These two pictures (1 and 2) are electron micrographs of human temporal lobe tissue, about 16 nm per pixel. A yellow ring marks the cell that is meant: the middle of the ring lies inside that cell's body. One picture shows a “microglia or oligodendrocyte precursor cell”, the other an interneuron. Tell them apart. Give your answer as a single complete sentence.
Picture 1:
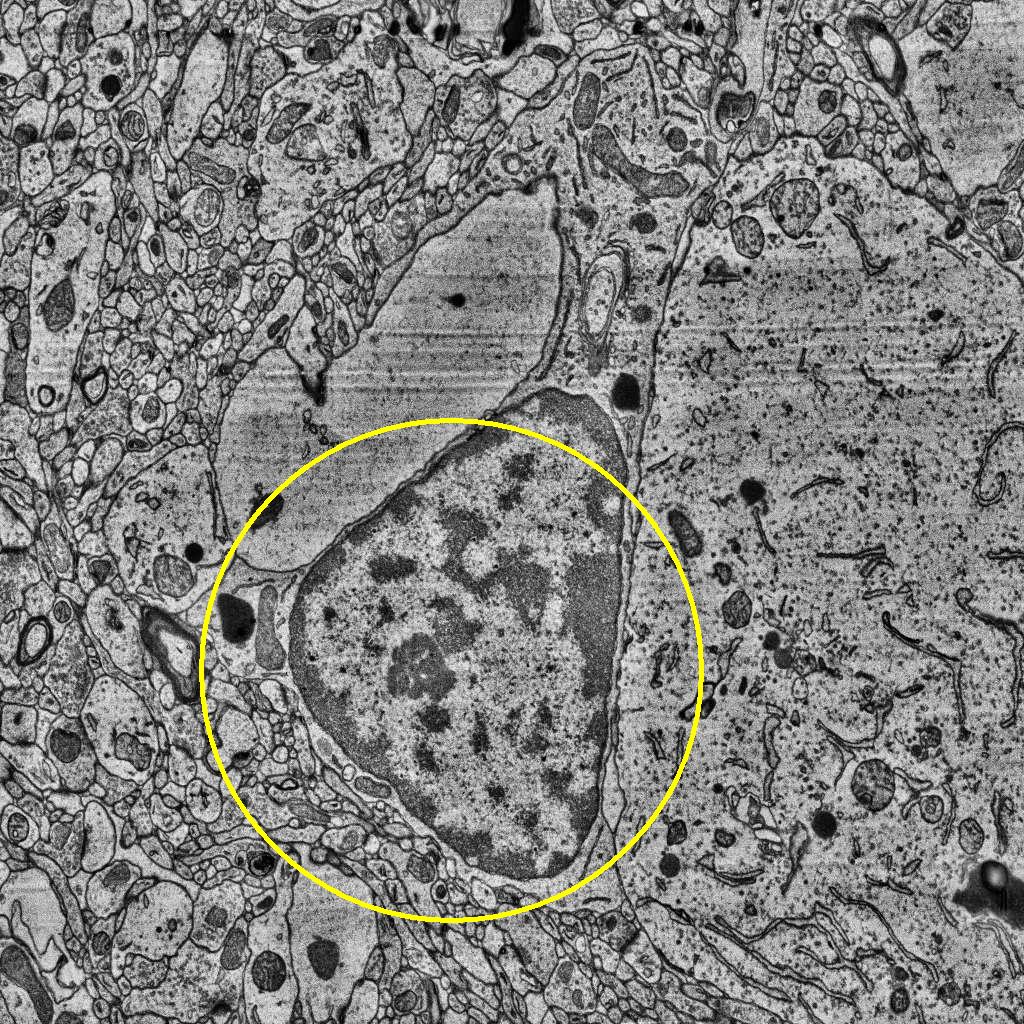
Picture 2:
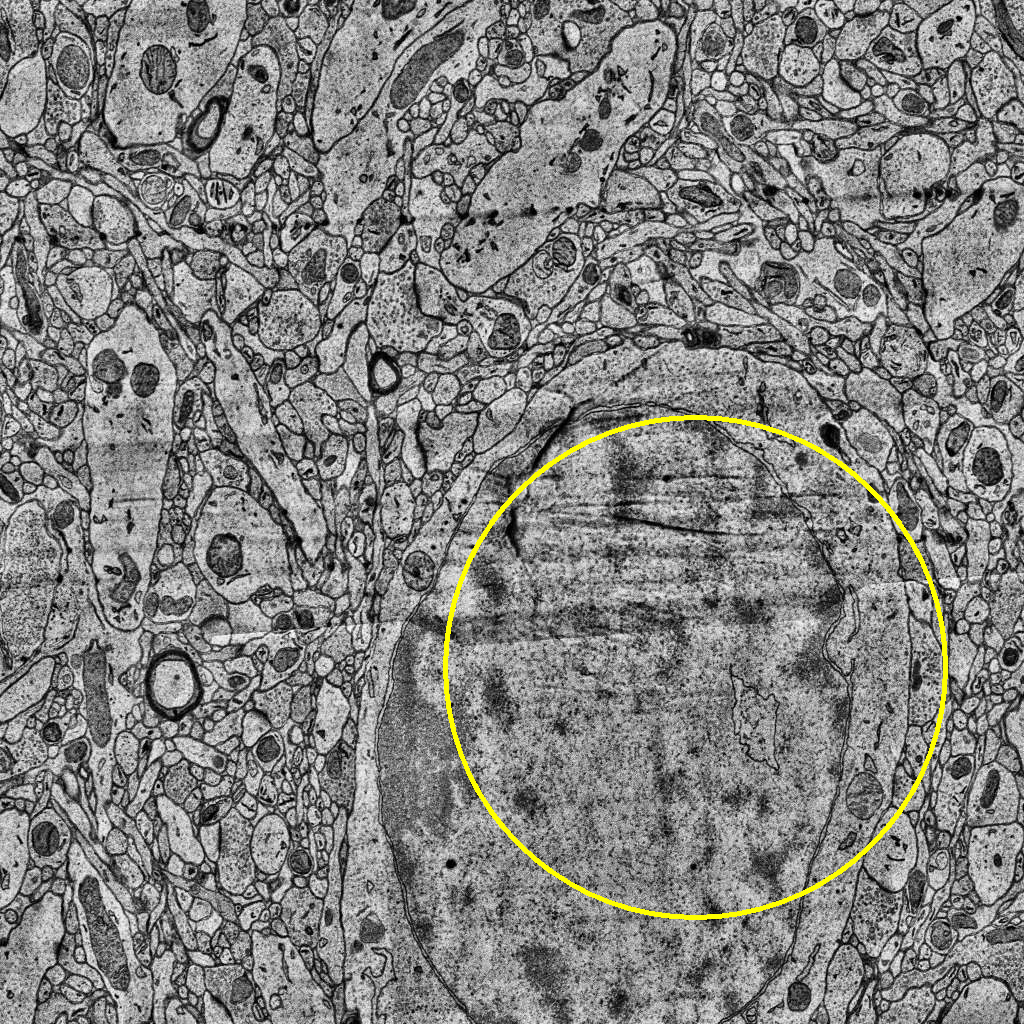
Picture 1 shows a “microglia or oligodendrocyte precursor cell” and picture 2 shows an interneuron.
